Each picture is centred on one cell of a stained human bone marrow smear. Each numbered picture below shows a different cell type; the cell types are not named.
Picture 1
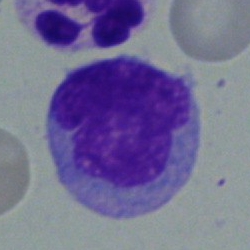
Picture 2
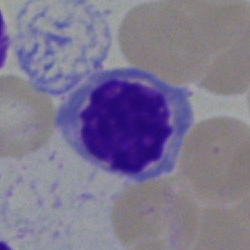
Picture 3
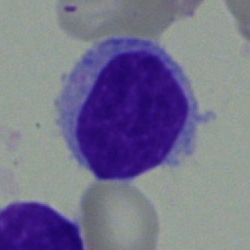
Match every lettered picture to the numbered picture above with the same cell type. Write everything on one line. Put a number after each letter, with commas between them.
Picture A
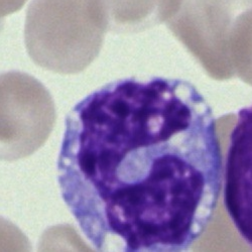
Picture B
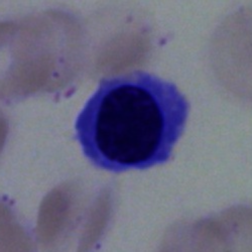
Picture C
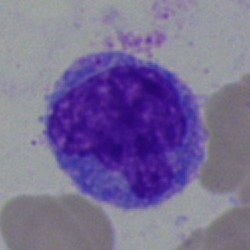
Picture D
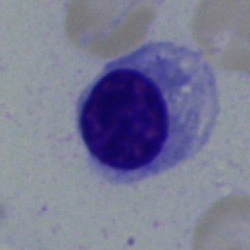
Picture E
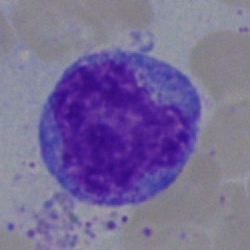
A 1, B 2, C 1, D 2, E 1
